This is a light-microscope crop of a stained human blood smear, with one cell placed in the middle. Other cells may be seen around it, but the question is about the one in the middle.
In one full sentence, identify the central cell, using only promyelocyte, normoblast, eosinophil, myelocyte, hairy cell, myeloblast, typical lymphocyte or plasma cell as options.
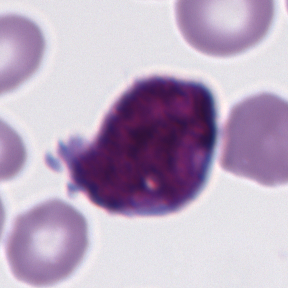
Framed in the middle of the crop is a myeloblast.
